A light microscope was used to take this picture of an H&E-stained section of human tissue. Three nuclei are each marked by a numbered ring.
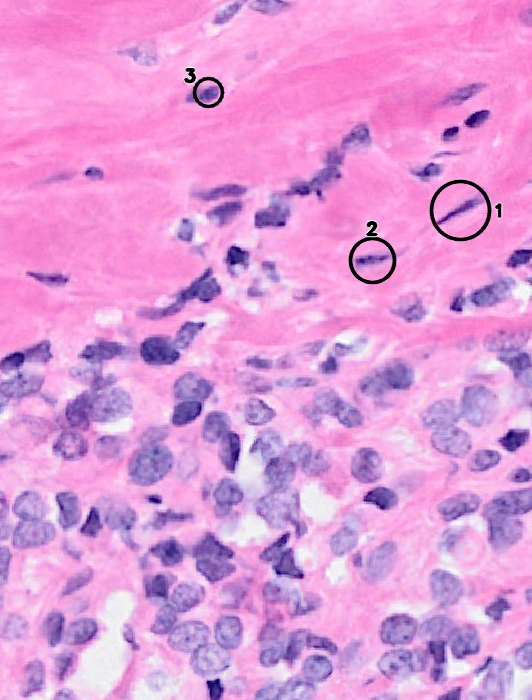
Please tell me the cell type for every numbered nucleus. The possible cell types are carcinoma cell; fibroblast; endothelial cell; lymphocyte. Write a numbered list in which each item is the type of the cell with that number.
1. fibroblast
2. fibroblast
3. lymphocyte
